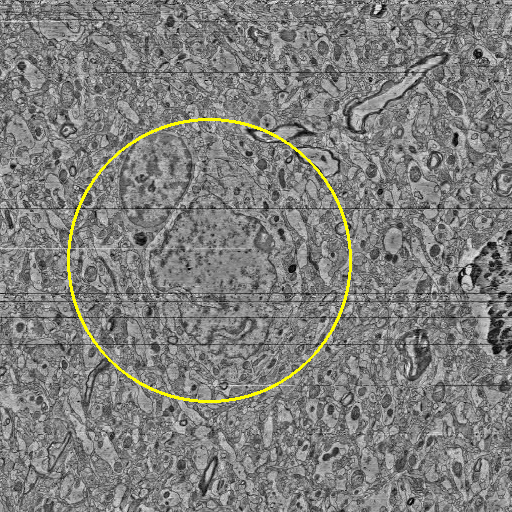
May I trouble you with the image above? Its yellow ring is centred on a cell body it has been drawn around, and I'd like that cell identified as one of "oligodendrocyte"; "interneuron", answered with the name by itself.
interneuron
